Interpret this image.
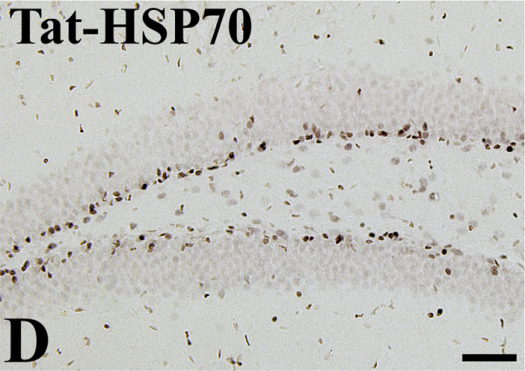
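The granule cell layer is a thick band of closely packed, pale, round nuclei. A row of dark brown, fairly small nuclei runs along the inner border of each blade, facing the polymorphic layer. The polymorphic layer and the molecular layer outside the blades hold scattered small nuclei, some of them stained. The brown nuclei at the inner edge of the blades stand out sharply against the pale granule cells.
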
